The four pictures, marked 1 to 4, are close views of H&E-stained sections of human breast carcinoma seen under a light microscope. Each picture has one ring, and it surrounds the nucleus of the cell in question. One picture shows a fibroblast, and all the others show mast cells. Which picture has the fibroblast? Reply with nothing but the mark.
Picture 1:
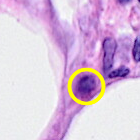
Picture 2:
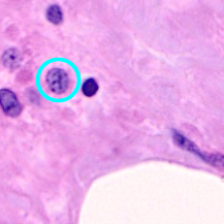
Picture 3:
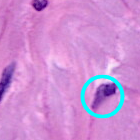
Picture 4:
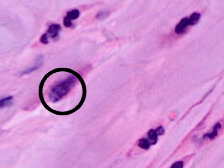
3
